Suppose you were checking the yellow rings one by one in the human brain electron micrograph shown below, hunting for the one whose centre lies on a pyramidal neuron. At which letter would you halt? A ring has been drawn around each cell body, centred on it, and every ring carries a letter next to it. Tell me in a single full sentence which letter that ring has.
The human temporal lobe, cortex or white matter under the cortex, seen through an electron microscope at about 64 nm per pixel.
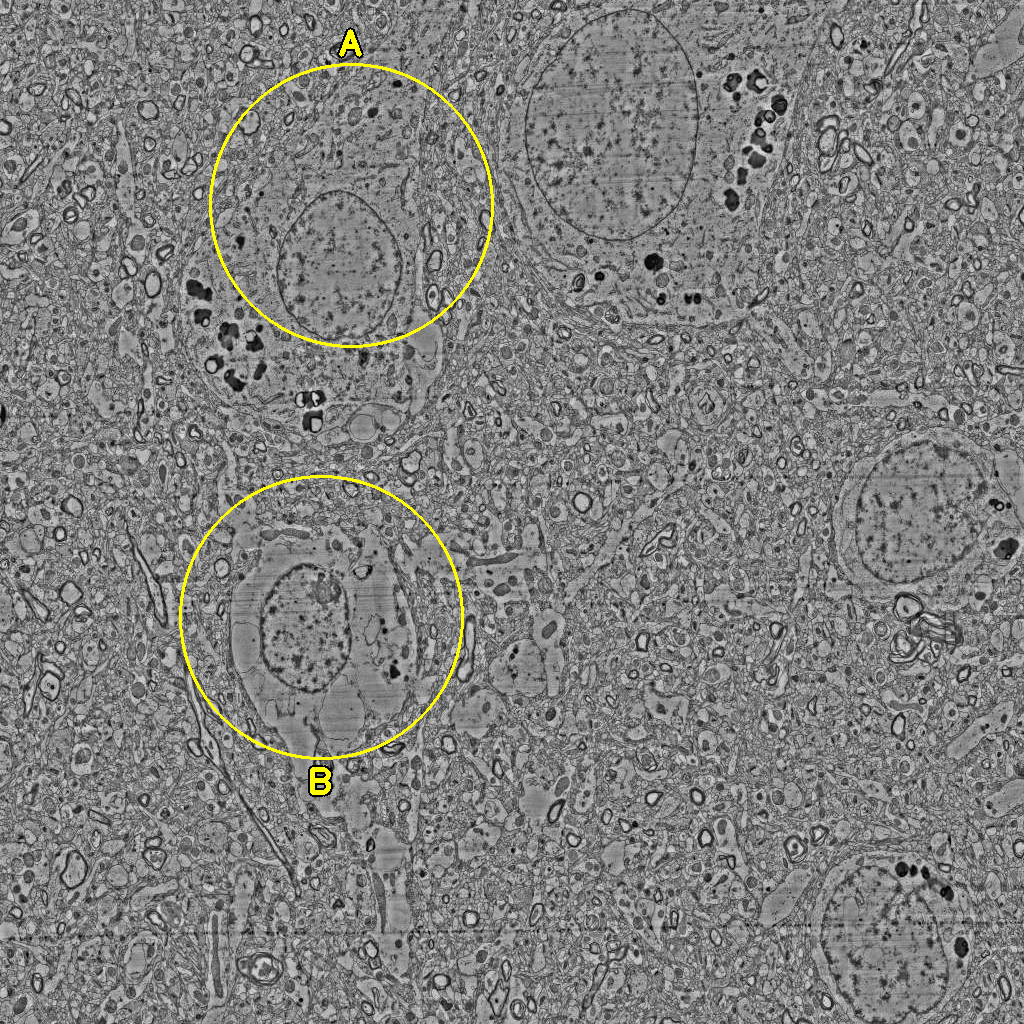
Going through the rings, I would stop at ring A, the one centred on the cell asked for.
